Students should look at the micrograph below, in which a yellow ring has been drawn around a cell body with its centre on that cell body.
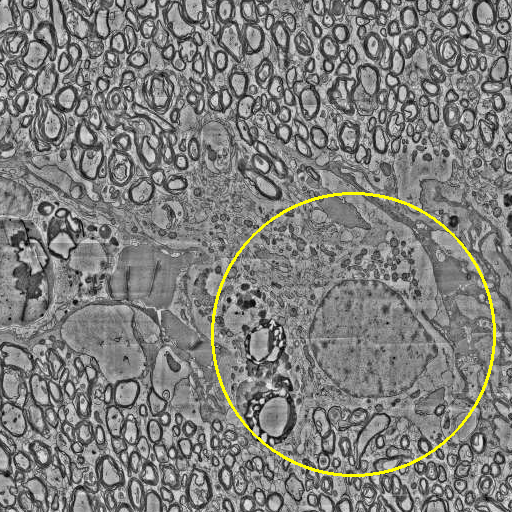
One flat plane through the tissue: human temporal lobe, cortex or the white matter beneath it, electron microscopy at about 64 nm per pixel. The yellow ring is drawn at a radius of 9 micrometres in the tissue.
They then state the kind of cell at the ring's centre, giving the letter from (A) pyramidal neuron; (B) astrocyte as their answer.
B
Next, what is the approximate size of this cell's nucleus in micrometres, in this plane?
The nucleus of the ringed cell is approximately 8 micrometres across in this plane.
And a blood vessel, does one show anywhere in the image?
Yes, the picture includes a blood vessel.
